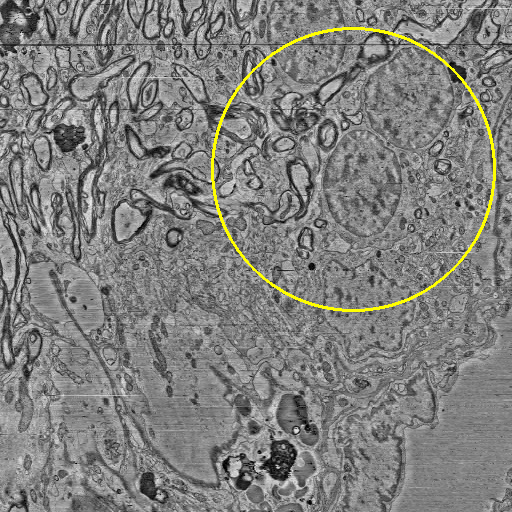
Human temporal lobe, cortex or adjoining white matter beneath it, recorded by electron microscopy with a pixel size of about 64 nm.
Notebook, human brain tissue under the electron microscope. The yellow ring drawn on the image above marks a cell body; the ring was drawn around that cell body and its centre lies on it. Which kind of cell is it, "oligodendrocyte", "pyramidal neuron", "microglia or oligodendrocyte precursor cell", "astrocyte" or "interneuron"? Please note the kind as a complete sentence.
The marked cell body is that of an oligodendrocyte.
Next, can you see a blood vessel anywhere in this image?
Yes, one is visible.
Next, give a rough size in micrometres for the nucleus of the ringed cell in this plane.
Approximately 7 micrometres long and 5 micrometres wide, in this plane.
